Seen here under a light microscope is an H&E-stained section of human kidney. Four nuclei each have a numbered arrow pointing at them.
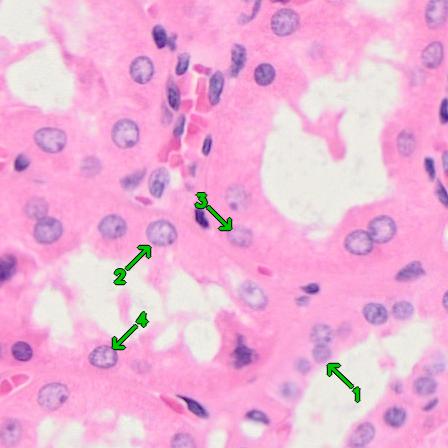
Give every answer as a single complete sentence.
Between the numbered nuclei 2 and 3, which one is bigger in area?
The larger nucleus is 2, at roughly 1.5 times the area of 3.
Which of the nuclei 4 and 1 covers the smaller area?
The smaller nucleus is 1, and 4 covers roughly 2 times its area.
